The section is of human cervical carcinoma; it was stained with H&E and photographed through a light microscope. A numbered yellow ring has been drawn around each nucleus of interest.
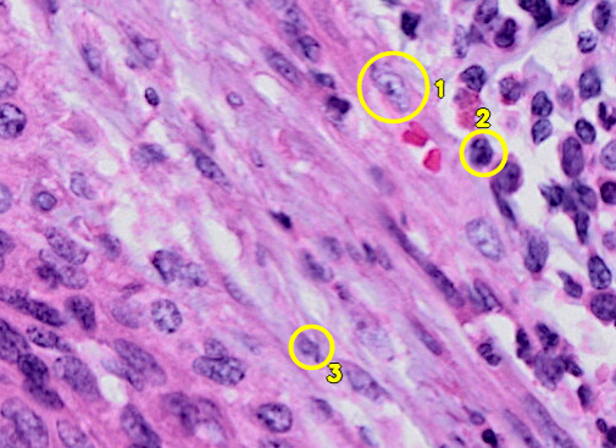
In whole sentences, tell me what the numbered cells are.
Cell 1 is an endothelial cell, cell 2 is a lymphocyte and cell 3 is a fibroblast.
